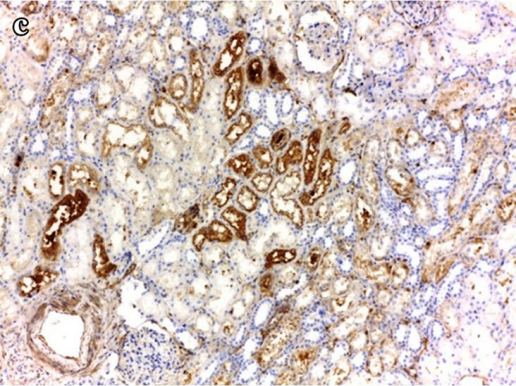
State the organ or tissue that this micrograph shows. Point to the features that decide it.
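Kidney tubules. Many round and elongated tubular profiles lined by a single layer of epithelial cells. Several tubules have brown-stained epithelium while others are pale. A thick-walled artery lies at the lower left.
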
